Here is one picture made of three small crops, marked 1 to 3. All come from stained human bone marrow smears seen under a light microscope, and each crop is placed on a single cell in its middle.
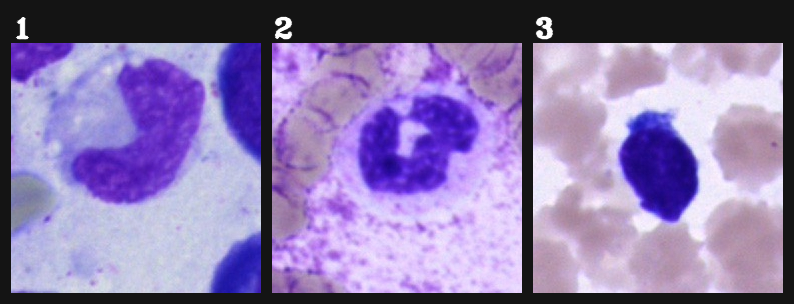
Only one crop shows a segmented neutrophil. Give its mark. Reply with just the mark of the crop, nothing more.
2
